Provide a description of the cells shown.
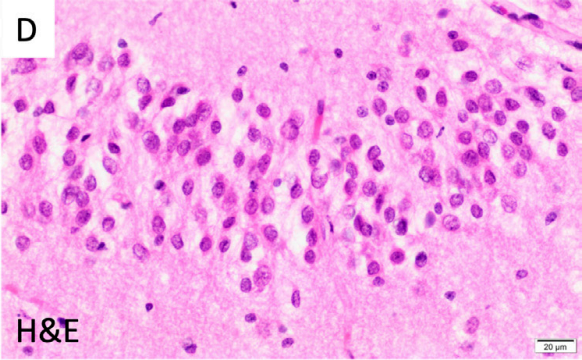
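The granule cells form a band of small neurons with round to oval purple nuclei and scant pink cytoplasm. The nuclei are crowded in places but leave gaps of pale pink neuropil in others, so the band is not uniformly dense. On either side of the band lies paler, finely fibrillary pink neuropil with only scattered nuclei.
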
